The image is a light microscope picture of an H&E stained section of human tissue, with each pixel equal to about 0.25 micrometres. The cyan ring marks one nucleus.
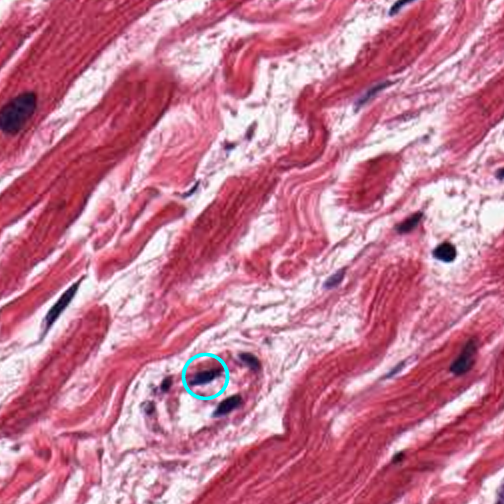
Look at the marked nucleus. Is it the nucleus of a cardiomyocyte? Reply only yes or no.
no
